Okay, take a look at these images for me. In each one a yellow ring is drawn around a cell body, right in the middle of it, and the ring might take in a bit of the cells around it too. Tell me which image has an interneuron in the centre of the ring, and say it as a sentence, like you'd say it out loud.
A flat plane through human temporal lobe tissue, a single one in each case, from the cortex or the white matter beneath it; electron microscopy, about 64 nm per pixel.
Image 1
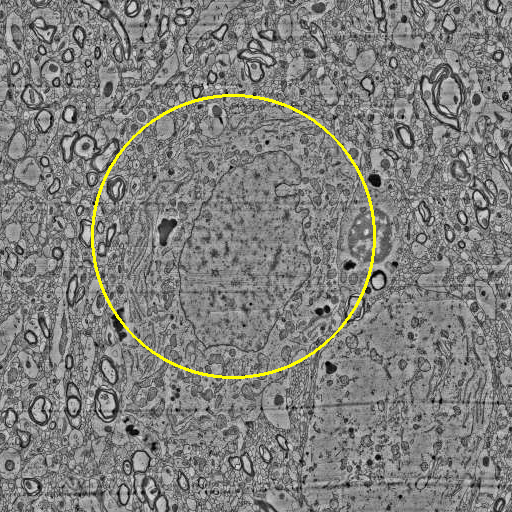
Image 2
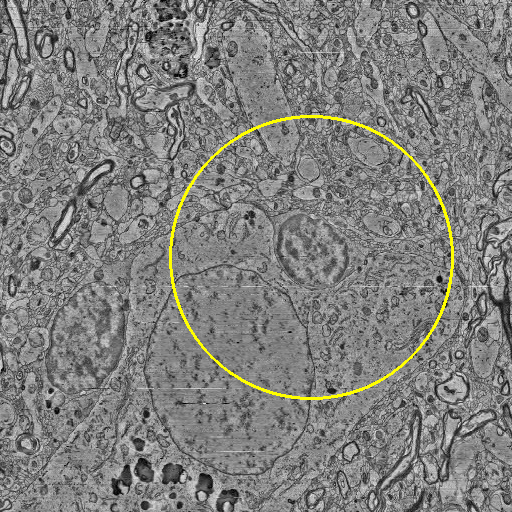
Image 1 is the one with it in the centre of the ring.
